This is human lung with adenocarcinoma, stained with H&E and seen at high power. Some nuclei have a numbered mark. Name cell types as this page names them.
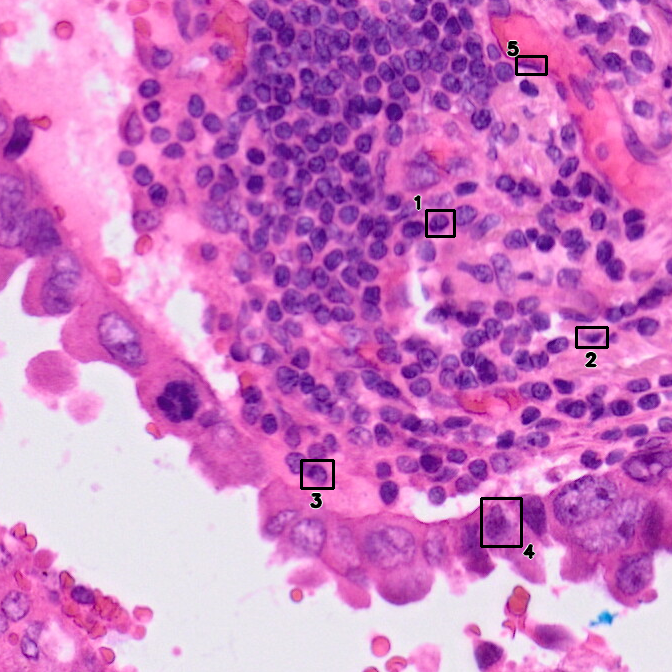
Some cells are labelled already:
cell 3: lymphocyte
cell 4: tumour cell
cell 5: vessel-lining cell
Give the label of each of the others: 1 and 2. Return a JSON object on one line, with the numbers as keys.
{"1": "lymphocyte", "2": "lymphocyte"}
